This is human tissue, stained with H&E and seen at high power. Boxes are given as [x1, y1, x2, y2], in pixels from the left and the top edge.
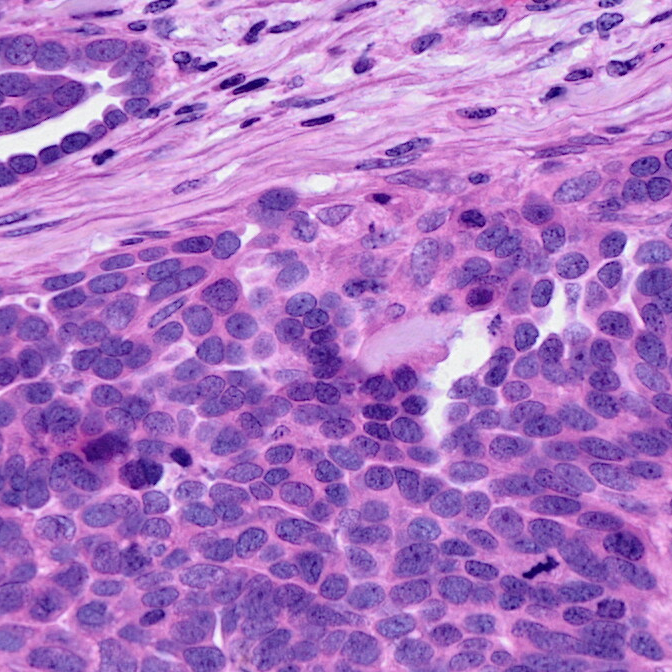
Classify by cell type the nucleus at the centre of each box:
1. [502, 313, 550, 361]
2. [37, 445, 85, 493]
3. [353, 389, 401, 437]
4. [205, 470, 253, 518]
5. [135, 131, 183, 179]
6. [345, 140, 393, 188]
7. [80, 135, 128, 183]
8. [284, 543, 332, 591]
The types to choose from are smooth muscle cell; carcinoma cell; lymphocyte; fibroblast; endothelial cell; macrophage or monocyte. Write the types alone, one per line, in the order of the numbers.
carcinoma cell
carcinoma cell
carcinoma cell
carcinoma cell
fibroblast
fibroblast
lymphocyte
carcinoma cell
